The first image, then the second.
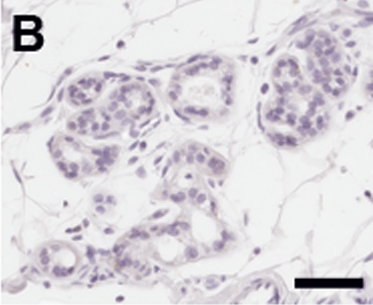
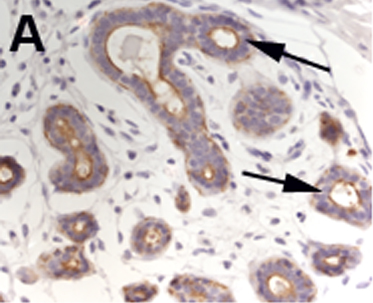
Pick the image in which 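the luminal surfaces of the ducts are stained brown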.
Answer: the second image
